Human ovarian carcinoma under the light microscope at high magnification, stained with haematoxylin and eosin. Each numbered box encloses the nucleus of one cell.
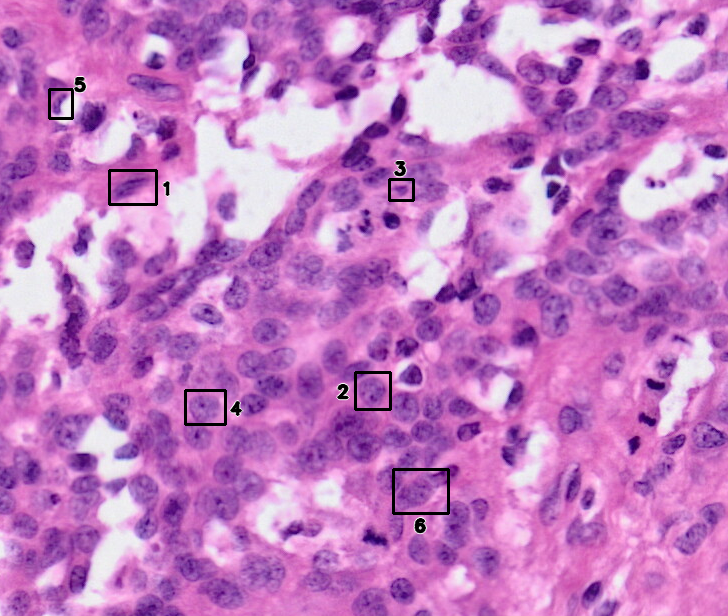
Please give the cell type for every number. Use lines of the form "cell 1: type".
cell 1: endothelial cell
cell 2: carcinoma cell
cell 3: carcinoma cell
cell 4: carcinoma cell
cell 5: macrophage or monocyte
cell 6: carcinoma cell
